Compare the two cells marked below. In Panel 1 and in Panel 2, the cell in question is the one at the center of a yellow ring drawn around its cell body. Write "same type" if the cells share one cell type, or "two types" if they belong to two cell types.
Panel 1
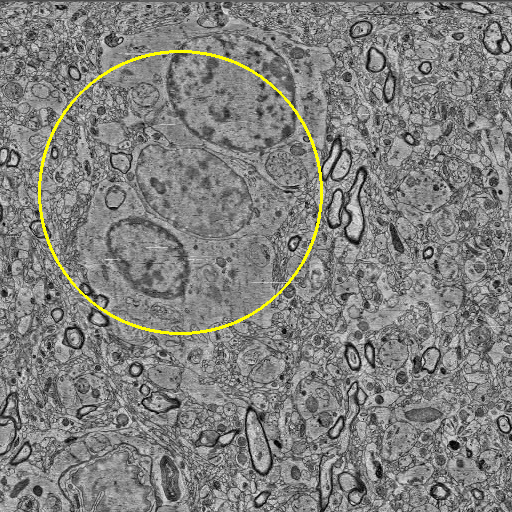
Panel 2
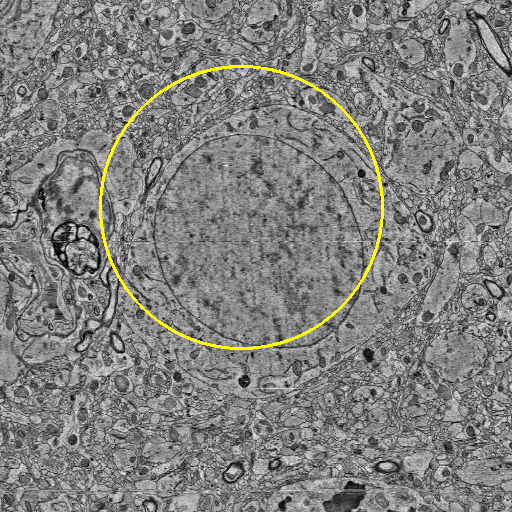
two types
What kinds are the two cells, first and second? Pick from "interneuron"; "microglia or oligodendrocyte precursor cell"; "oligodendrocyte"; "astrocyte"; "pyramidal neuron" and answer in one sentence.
The second picture holds a pyramidal neuron in its ring, and the first holds an oligodendrocyte.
